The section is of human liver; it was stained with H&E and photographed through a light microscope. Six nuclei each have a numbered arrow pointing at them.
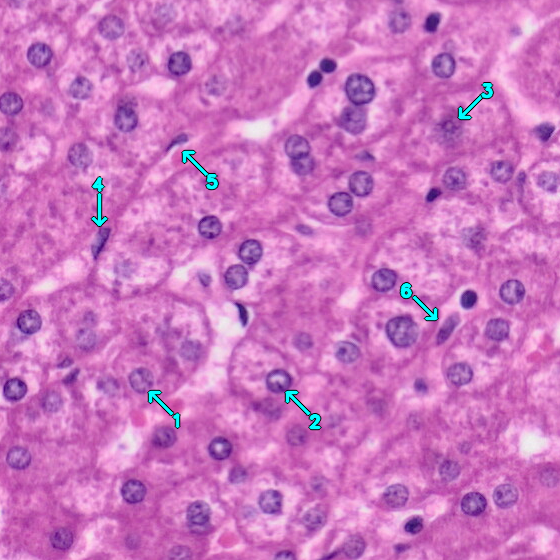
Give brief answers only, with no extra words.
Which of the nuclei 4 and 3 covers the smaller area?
4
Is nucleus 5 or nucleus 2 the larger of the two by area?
2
